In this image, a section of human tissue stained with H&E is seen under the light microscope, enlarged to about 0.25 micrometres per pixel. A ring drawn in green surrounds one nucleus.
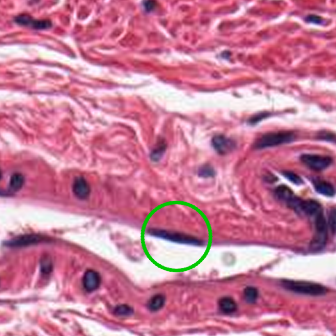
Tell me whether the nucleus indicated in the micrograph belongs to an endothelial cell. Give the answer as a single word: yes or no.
yes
